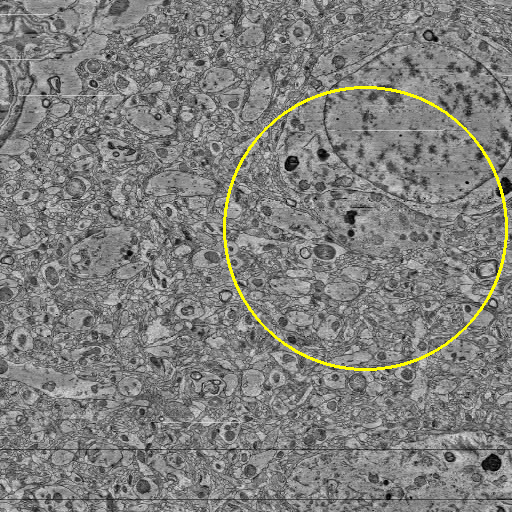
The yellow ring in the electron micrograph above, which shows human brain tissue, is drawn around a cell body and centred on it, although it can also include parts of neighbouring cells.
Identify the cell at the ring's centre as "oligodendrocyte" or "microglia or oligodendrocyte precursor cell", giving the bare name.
oligodendrocyte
